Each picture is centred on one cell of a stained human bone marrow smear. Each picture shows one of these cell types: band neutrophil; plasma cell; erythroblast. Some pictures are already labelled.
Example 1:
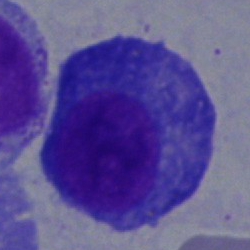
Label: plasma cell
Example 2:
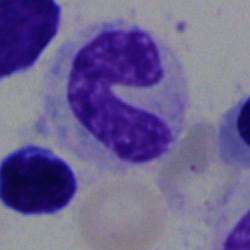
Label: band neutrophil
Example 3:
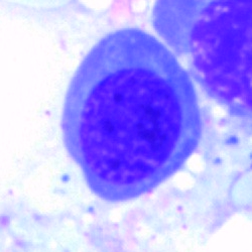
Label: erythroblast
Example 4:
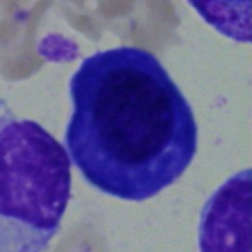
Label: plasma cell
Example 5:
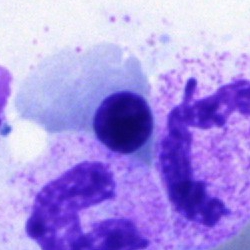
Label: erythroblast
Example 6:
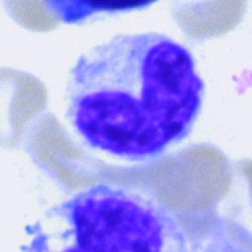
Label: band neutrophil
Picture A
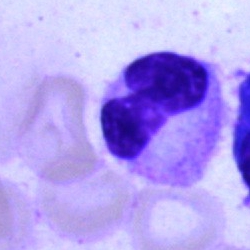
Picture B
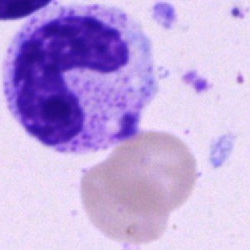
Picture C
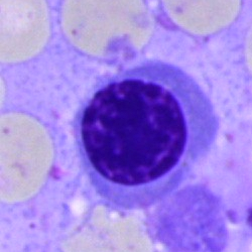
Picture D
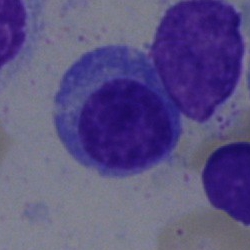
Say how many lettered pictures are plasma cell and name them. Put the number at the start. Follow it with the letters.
Count: 1 (D)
